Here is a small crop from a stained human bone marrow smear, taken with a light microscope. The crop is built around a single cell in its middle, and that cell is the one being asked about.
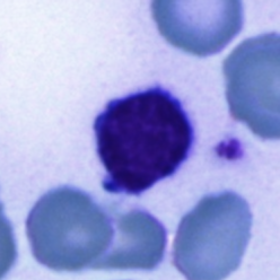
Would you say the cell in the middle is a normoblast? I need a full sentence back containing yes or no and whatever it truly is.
No, the cell found centrally in the crop is a lymphocyte, not a normoblast.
